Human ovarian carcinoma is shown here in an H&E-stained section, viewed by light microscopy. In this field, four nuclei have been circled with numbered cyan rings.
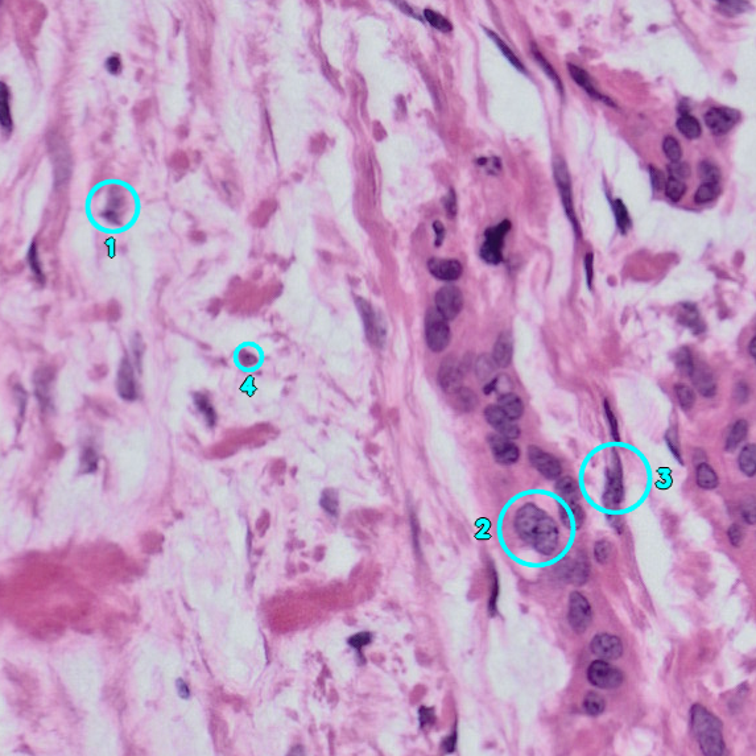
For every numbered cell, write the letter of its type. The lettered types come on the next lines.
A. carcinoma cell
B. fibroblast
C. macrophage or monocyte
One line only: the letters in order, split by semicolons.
B; A; B; B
